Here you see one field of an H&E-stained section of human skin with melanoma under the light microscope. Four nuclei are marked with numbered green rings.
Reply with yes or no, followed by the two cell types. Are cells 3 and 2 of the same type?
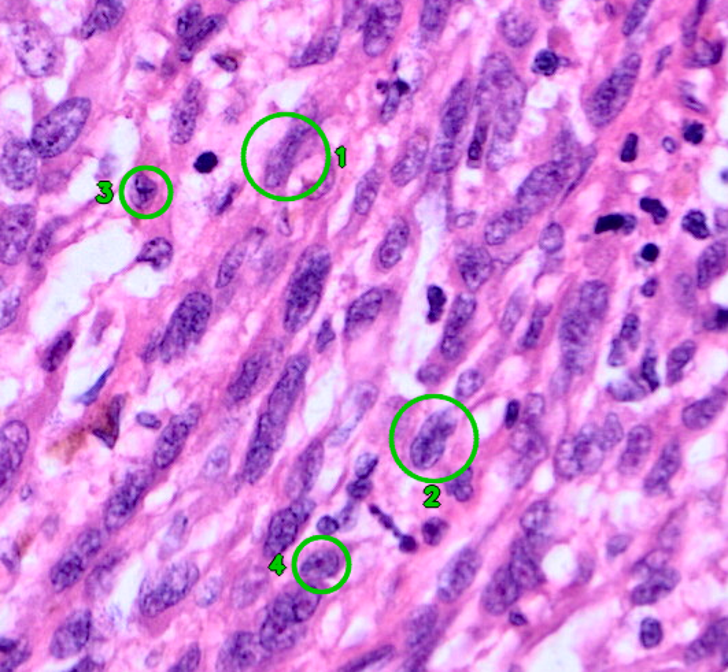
No, cell 3 is a macrophage or monocyte, with cell 2 being a melanoma cell.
